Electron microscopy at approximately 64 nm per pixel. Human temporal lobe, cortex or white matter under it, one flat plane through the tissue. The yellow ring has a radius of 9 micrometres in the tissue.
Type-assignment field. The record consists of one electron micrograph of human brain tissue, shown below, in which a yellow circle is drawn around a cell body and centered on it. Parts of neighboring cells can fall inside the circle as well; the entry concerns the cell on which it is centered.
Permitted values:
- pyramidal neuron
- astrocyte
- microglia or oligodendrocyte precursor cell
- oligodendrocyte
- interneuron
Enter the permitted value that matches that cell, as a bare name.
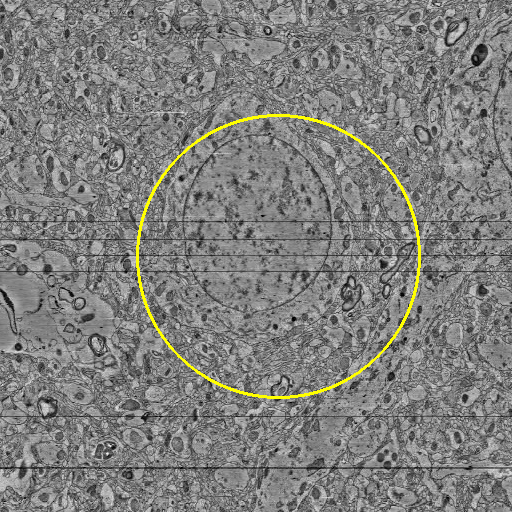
pyramidal neuron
